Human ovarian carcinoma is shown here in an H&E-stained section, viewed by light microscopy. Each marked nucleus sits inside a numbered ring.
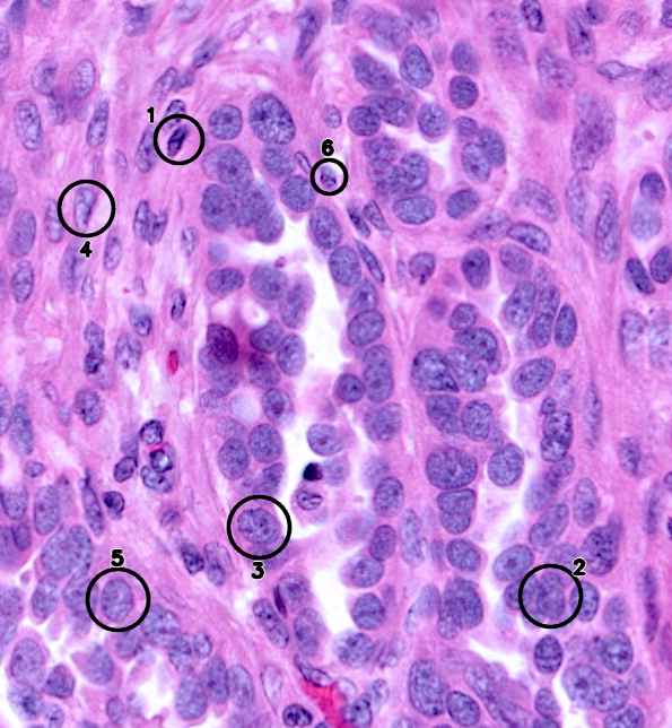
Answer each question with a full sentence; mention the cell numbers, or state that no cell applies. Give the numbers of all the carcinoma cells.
The cells referred to by the numbers 2, 3 and 5 are carcinoma cells.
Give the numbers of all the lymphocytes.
Only at number 1 is there a lymphocyte among the marked cells.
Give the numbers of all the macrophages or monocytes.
Only one of the numbered nuclei, number 6, belongs to a macrophage or monocyte.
